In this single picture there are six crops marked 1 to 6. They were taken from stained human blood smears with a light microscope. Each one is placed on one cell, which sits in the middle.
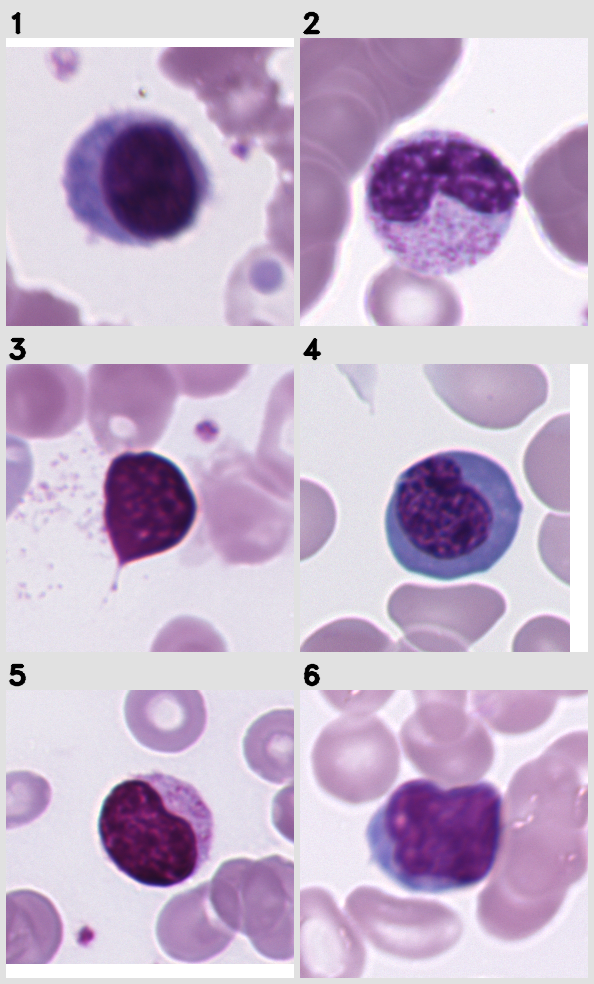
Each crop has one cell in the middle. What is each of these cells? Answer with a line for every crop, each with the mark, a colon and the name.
1: hairy cell
2: band neutrophil
3: smudge cell
4: normoblast
5: large granular lymphocyte
6: typical lymphocyte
